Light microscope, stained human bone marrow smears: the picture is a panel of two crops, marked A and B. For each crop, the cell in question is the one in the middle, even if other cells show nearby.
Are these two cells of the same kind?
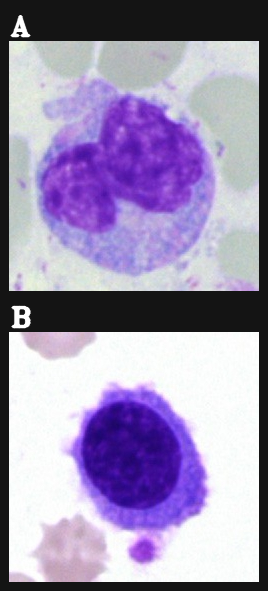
no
